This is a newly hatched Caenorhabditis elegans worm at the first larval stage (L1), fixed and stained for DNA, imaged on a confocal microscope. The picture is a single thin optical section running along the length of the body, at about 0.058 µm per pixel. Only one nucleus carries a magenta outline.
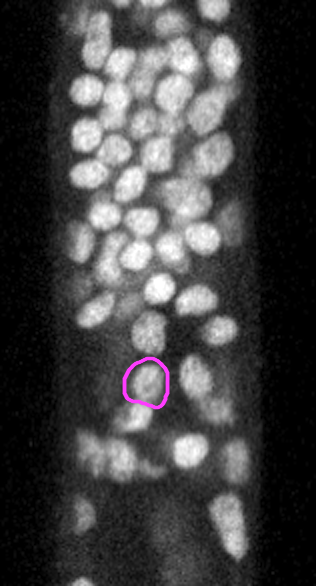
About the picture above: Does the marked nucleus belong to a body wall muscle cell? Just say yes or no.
no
